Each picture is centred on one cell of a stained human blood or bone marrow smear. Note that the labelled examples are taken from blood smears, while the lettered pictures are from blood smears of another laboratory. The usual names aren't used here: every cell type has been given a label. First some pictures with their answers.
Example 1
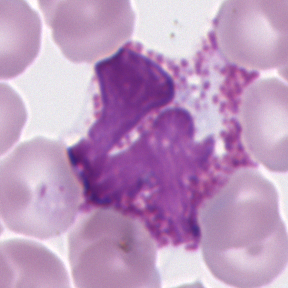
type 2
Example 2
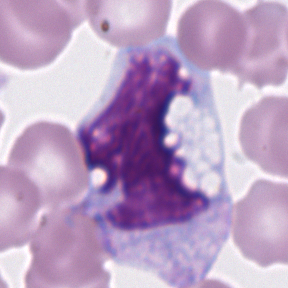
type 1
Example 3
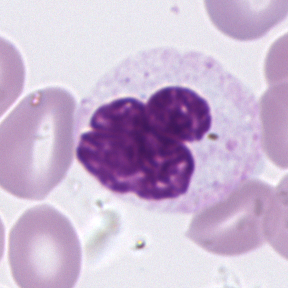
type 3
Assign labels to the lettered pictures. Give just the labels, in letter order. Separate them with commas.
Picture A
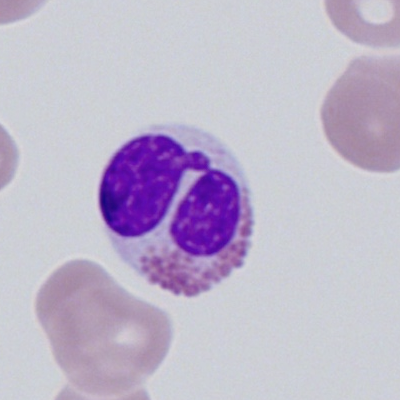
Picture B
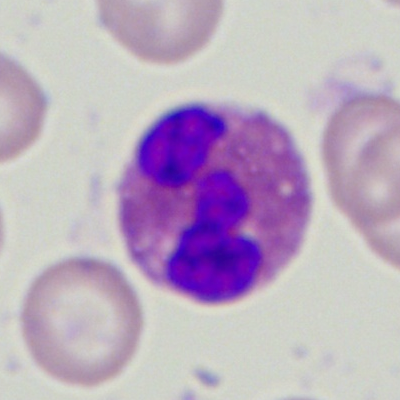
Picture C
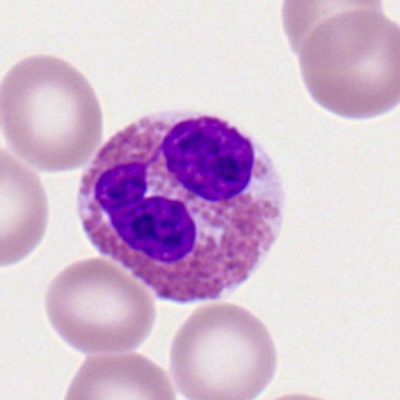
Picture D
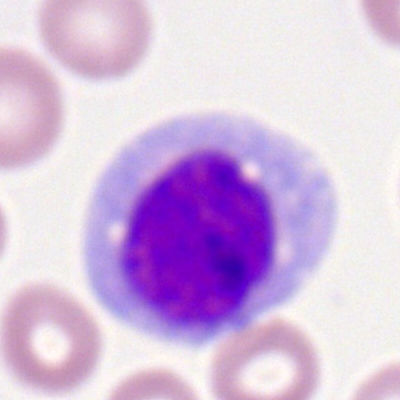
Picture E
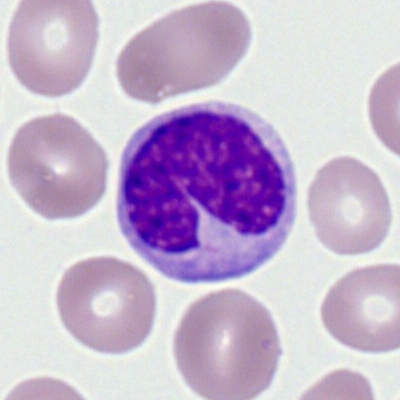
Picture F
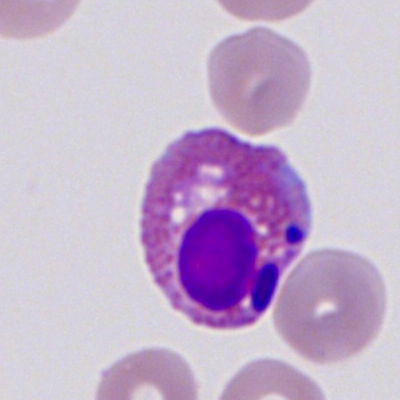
type 2, type 2, type 2, type 1, type 1, type 2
